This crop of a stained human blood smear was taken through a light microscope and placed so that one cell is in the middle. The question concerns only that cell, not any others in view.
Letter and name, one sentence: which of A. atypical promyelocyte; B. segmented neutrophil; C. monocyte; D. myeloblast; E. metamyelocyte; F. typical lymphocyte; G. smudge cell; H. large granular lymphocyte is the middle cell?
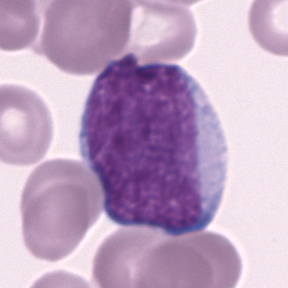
Option D is correct in that the central cell is a myeloblast.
